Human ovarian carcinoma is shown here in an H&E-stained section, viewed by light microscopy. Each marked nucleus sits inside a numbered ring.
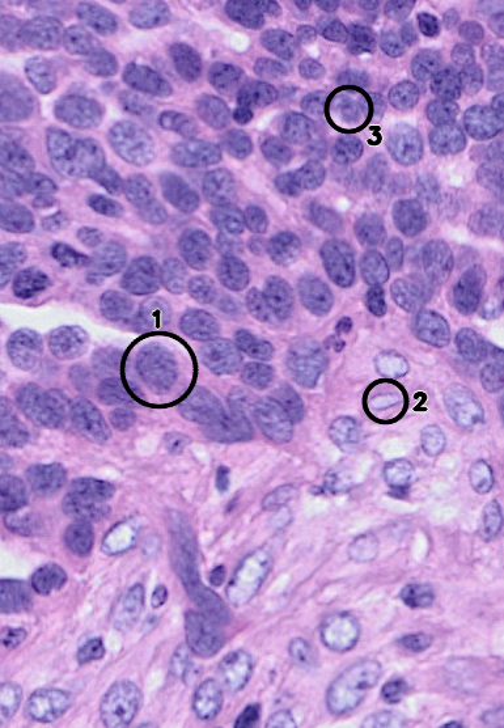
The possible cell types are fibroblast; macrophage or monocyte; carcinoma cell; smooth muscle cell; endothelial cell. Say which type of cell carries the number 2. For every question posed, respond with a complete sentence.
Cell 2 is classified as a fibroblast.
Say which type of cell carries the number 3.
In this section, the cell numbered 3 is a carcinoma cell.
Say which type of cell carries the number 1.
Cell 1 in the field is a carcinoma cell.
